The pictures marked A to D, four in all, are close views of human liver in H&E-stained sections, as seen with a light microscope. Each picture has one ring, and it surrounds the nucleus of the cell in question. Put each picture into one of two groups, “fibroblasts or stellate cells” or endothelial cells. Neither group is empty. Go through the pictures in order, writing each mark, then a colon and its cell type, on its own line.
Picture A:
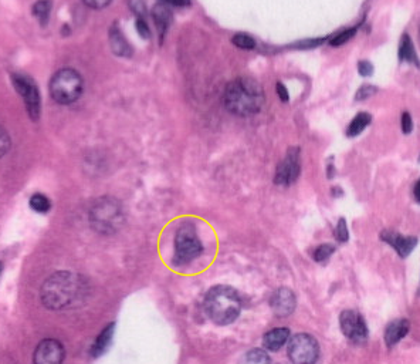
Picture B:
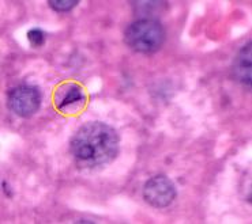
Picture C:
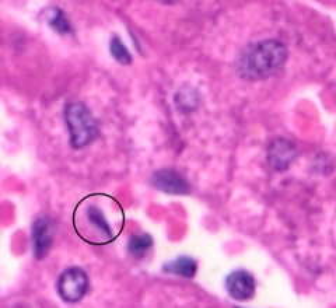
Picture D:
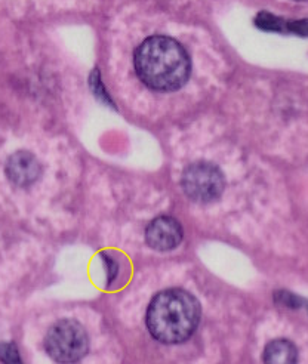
A: fibroblast or stellate cell
B: fibroblast or stellate cell
C: endothelial cell
D: endothelial cell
